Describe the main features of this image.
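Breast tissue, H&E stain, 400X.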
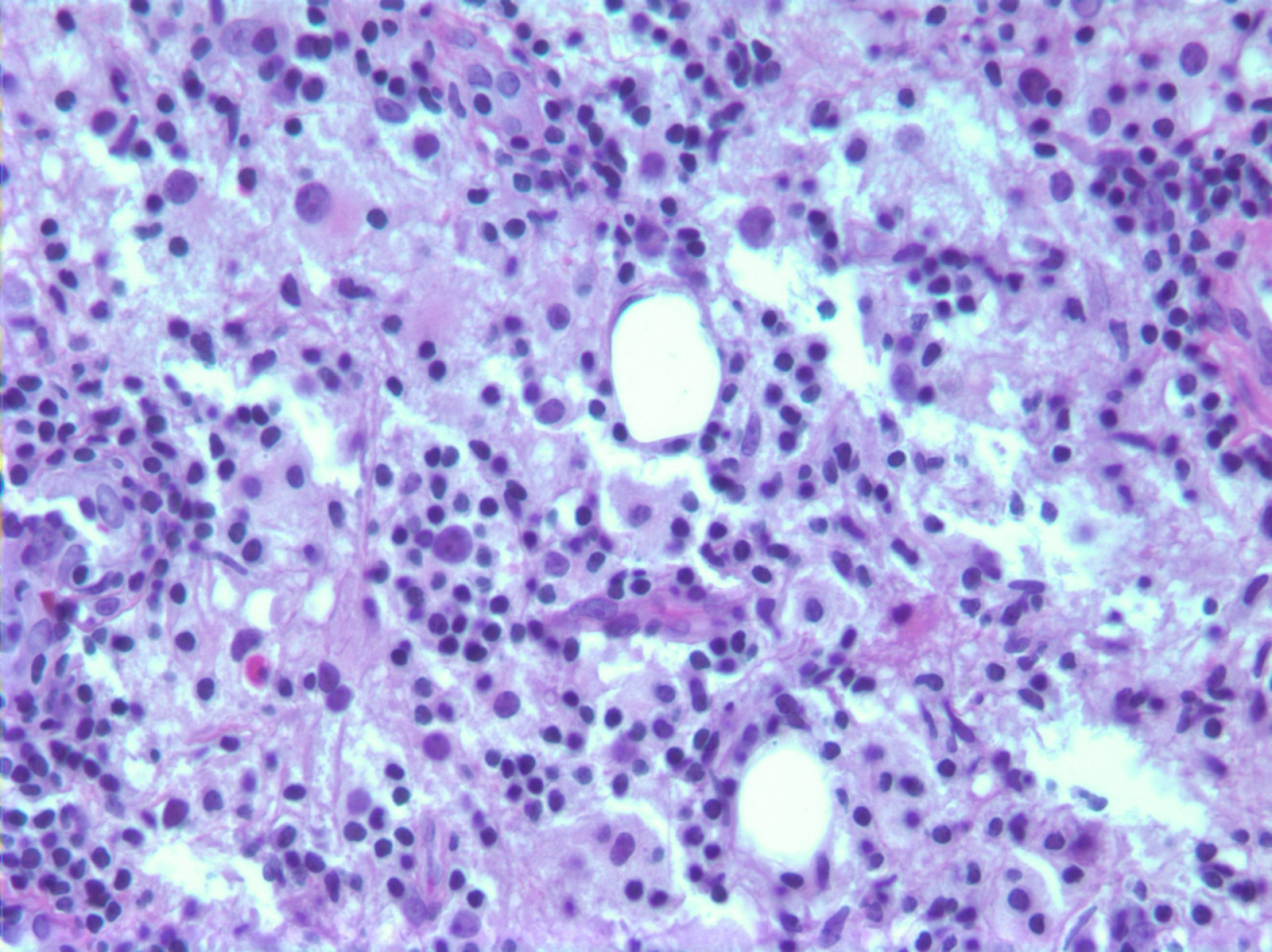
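No ducts or lobules are seen among these cells. The histiocytes are large, with abundant pale pink, wispy to vacuolated cytoplasm, indistinct cell borders and round, pale nuclei, some with small nucleoli. Between and over them lie many small cells with round, dense, dark purple nuclei and scant cytoplasm, gathered in clusters and streams. Some of these small dark cells sit within the pale cytoplasm of the larger cells. Two round empty spaces and scattered clefts break up the sheet.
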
